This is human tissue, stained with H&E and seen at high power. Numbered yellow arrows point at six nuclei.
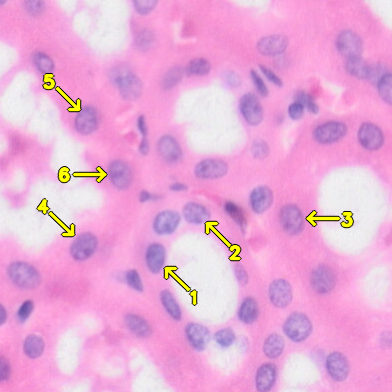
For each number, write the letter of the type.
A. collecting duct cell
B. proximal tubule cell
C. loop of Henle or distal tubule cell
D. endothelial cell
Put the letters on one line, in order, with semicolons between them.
A; A; B; B; B; B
